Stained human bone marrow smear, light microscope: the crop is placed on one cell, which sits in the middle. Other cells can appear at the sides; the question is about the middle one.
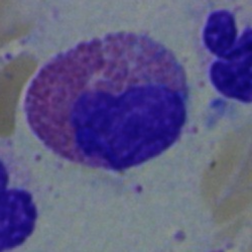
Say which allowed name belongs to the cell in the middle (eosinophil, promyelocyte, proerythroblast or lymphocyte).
eosinophil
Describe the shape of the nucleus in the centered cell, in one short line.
A single compact nucleus is present, shaped round, oval or like a kidney.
